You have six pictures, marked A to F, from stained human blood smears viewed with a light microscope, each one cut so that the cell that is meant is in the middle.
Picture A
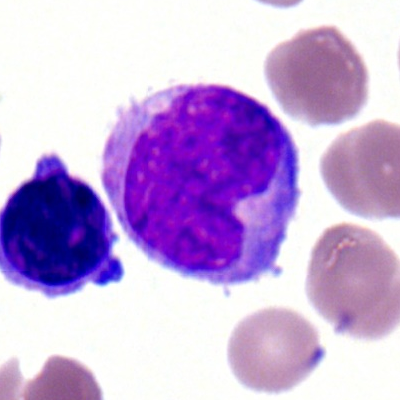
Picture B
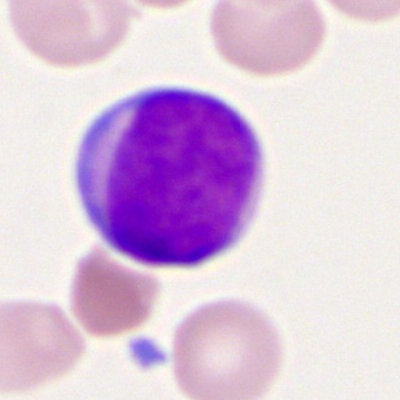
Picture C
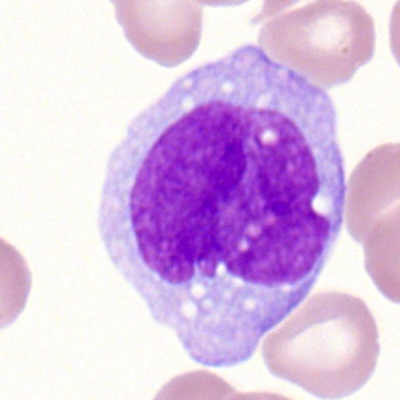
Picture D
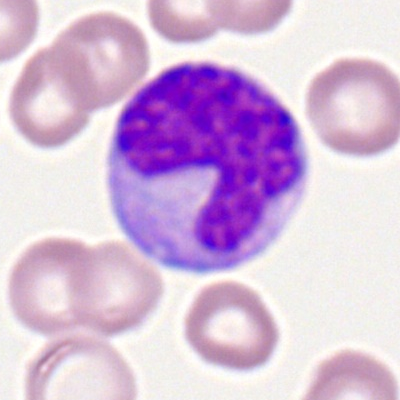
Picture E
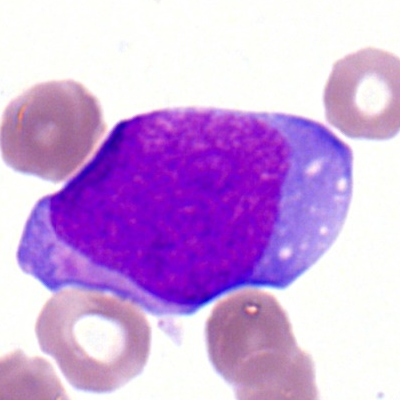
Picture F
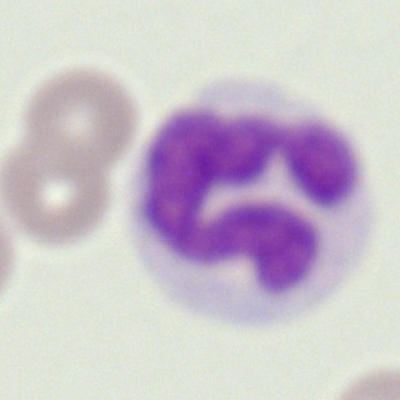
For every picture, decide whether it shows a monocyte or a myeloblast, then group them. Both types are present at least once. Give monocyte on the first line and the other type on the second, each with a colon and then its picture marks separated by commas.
monocyte: A, C, D, F
myeloblast: B, E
